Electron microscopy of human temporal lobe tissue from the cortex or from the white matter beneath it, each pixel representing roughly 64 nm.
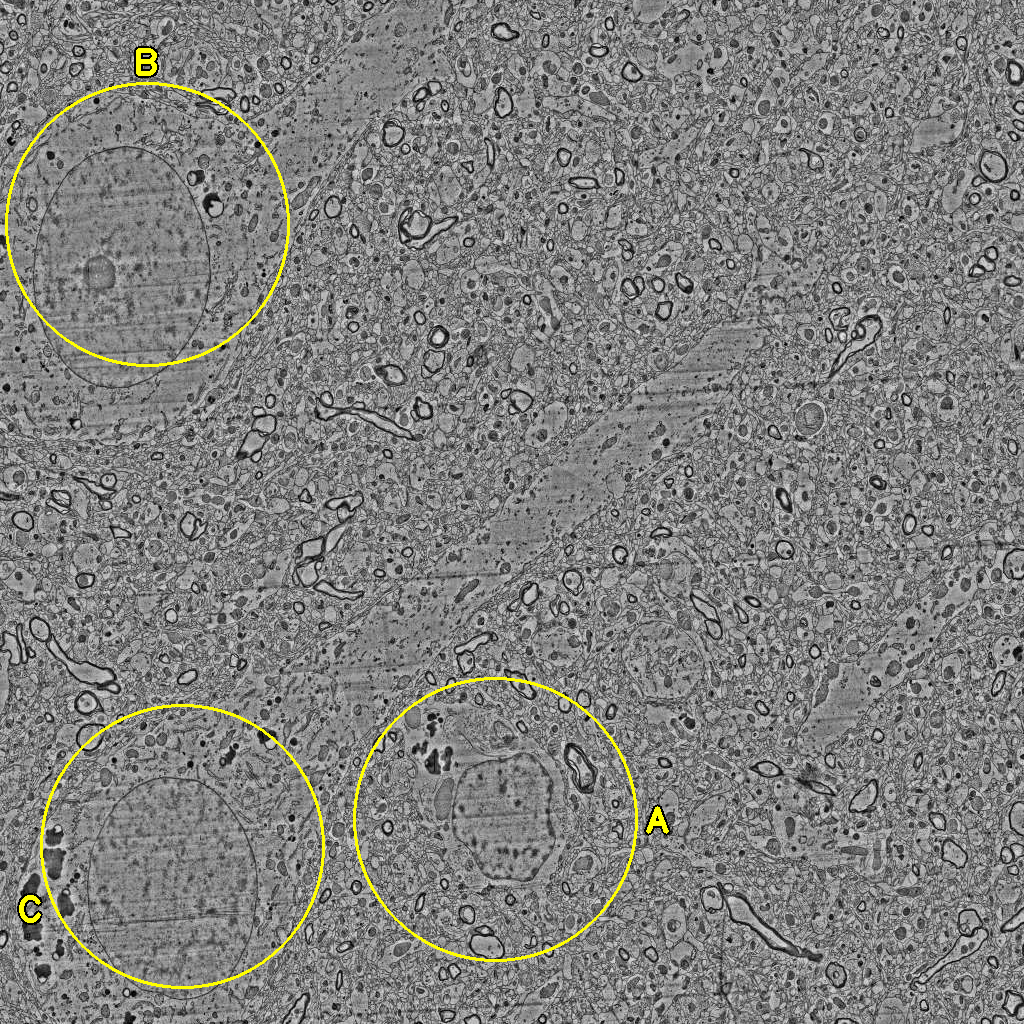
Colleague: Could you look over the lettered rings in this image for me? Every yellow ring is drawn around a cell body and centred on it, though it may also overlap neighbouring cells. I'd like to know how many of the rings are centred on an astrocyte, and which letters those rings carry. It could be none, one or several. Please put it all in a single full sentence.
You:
Placed beside the single ring centred on an astrocyte is the letter A.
